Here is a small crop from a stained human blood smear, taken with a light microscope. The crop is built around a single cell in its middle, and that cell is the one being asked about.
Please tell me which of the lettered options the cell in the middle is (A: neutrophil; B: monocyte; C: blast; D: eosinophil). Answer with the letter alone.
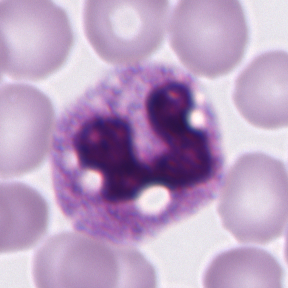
A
